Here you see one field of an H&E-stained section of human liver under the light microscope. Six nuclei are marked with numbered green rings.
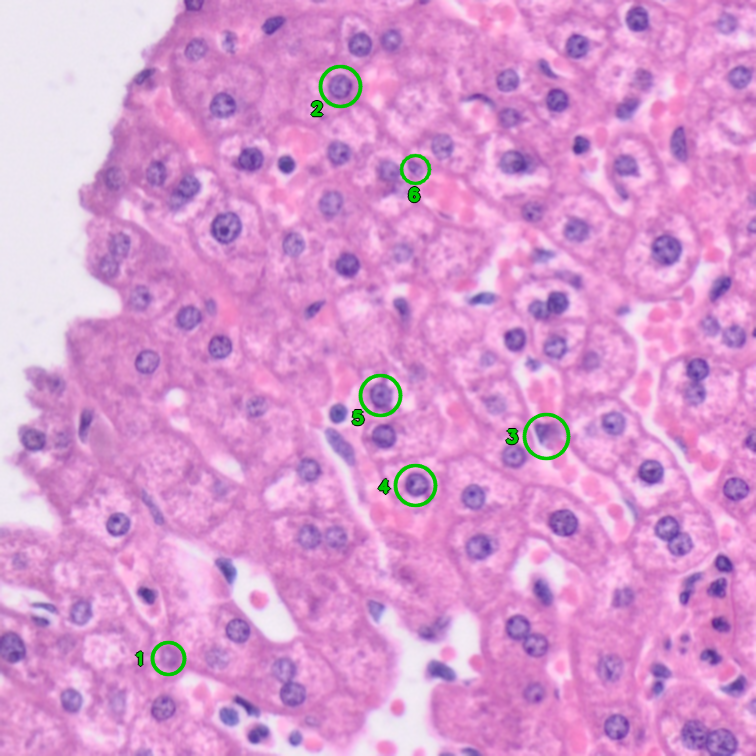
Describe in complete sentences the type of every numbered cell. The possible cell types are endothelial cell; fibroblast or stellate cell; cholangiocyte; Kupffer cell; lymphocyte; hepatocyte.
Cell 1 is a hepatocyte, cell 2 is a hepatocyte, cell 3 is an endothelial cell, cell 4 is a hepatocyte, cell 5 is a hepatocyte and cell 6 is a fibroblast or stellate cell.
